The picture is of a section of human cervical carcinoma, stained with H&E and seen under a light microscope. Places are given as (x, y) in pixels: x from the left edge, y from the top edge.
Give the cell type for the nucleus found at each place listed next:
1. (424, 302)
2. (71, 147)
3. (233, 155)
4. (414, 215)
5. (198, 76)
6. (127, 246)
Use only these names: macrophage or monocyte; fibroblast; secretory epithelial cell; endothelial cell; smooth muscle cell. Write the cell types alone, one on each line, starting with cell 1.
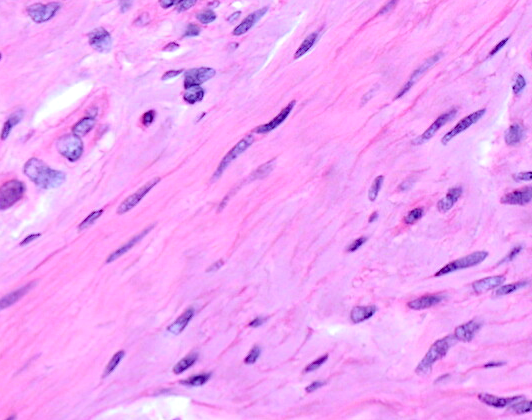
smooth muscle cell
endothelial cell
fibroblast
smooth muscle cell
fibroblast
fibroblast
